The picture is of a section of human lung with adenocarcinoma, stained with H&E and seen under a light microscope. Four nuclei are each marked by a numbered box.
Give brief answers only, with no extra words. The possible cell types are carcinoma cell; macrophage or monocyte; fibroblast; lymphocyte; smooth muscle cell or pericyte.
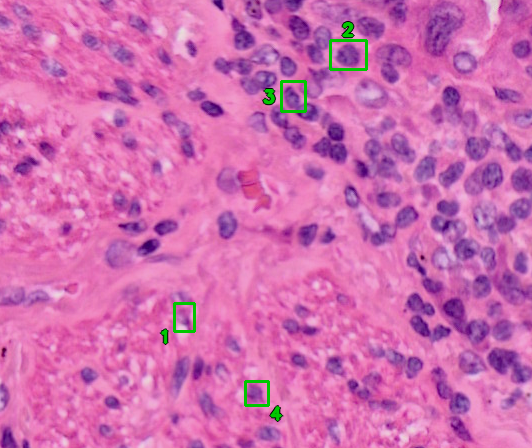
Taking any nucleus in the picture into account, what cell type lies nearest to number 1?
smooth muscle cell or pericyte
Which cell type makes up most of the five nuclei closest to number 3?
lymphocyte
